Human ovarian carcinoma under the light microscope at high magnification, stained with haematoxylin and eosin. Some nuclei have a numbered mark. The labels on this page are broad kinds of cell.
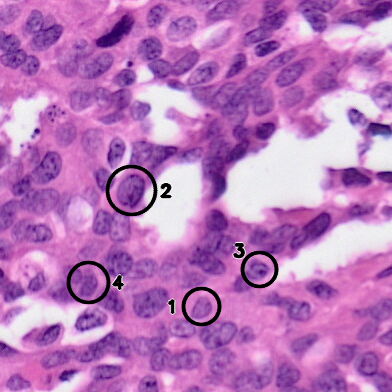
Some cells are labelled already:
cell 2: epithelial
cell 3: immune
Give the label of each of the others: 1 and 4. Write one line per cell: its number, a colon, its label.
1: immune
4: epithelial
